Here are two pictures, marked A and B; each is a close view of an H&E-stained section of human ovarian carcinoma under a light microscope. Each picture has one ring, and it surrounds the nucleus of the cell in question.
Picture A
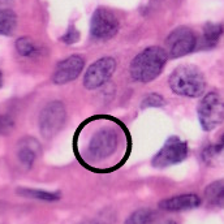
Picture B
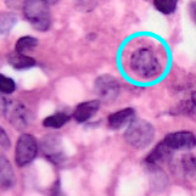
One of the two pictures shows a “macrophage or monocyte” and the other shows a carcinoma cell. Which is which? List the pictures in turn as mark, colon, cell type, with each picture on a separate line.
A: carcinoma cell
B: macrophage or monocyte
